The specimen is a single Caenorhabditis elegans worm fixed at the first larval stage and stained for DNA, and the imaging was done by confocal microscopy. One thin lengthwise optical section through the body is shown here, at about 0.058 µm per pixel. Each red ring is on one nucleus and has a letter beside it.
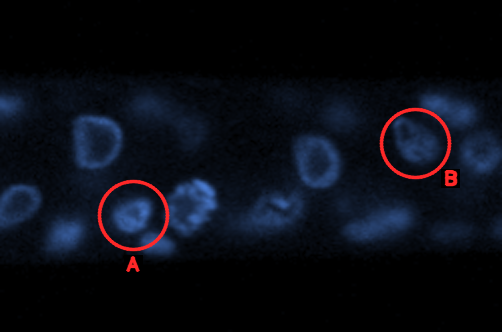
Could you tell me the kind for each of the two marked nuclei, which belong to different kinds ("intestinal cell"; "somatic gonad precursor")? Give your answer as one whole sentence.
A belongs to a somatic gonad precursor and B to an intestinal cell.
